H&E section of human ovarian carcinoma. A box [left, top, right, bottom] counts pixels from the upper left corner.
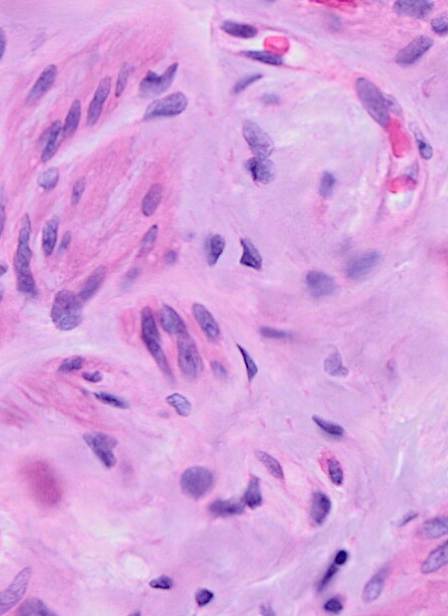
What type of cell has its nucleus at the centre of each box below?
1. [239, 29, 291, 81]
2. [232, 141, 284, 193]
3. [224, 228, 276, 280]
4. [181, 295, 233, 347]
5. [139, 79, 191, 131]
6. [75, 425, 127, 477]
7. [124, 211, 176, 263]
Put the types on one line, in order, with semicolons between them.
endothelial cell; fibroblast; fibroblast; smooth muscle cell; fibroblast; fibroblast; smooth muscle cell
